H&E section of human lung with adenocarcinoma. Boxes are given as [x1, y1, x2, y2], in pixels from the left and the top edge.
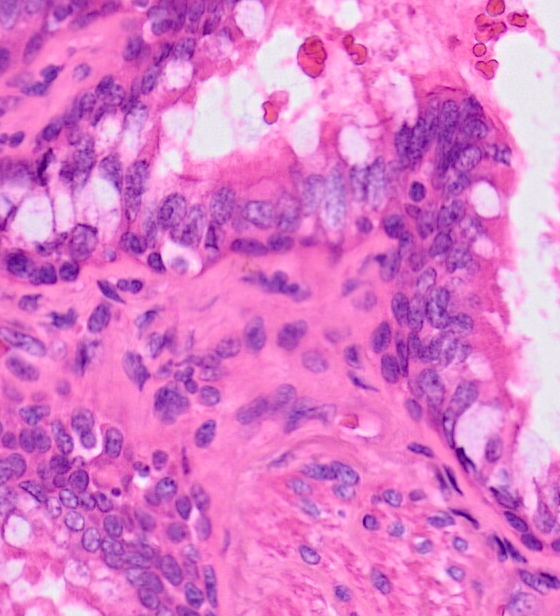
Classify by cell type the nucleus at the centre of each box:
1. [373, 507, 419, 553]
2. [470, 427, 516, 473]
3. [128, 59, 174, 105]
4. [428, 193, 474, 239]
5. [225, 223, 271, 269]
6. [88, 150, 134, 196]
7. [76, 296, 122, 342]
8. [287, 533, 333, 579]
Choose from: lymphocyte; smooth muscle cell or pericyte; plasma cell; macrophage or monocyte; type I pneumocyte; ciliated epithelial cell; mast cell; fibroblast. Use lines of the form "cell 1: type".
cell 1: smooth muscle cell or pericyte
cell 2: ciliated epithelial cell
cell 3: ciliated epithelial cell
cell 4: ciliated epithelial cell
cell 5: ciliated epithelial cell
cell 6: ciliated epithelial cell
cell 7: mast cell
cell 8: smooth muscle cell or pericyte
